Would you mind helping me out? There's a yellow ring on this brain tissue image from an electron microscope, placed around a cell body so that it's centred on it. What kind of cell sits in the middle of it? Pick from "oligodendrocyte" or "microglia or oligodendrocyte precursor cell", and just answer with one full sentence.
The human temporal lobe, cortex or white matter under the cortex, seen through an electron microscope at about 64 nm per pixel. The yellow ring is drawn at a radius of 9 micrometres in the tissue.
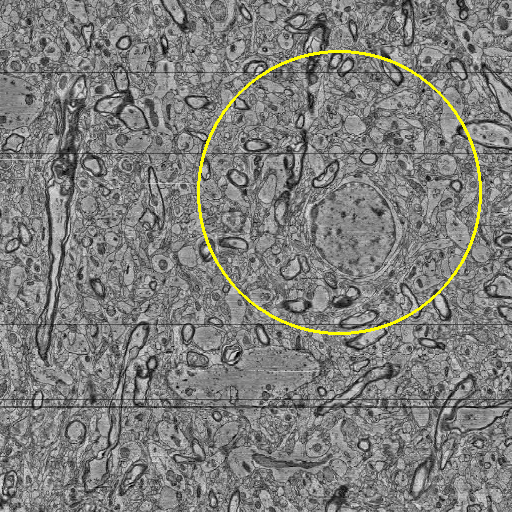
What sits in the middle of that yellow ring is a microglial cell or oligodendrocyte precursor cell, from your choices.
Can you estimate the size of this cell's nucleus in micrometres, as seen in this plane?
In this plane, about 6 micrometres in length and 5 in width.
